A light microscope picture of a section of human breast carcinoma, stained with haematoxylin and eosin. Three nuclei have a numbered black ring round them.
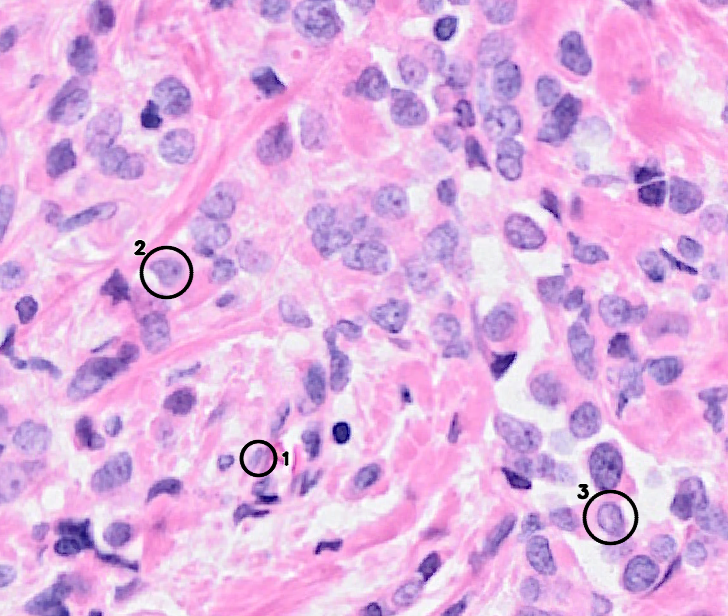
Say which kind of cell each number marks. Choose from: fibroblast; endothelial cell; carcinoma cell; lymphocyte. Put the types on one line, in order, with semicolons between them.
endothelial cell; carcinoma cell; carcinoma cell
